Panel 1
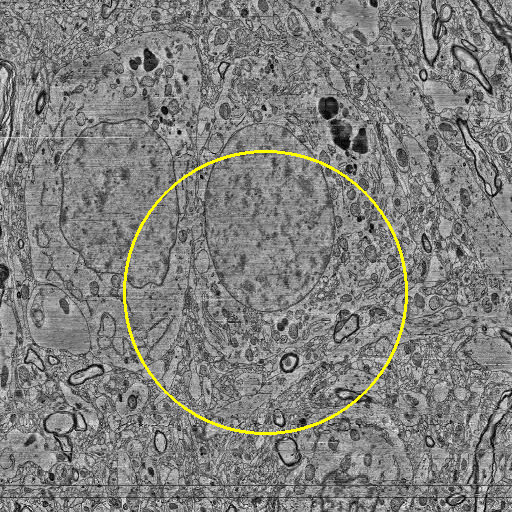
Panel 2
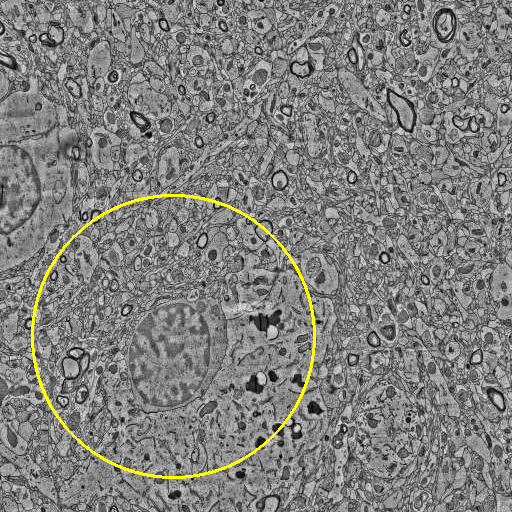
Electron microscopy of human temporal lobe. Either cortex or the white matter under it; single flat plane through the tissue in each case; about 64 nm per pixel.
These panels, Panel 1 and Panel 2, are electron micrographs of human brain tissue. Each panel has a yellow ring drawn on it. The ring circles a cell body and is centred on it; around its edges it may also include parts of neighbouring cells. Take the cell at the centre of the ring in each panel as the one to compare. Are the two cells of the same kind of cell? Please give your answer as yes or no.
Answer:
no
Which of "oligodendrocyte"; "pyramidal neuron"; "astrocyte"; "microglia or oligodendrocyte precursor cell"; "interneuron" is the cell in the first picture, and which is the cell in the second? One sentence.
The two differ: the first cell is an interneuron and the second is an oligodendrocyte.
